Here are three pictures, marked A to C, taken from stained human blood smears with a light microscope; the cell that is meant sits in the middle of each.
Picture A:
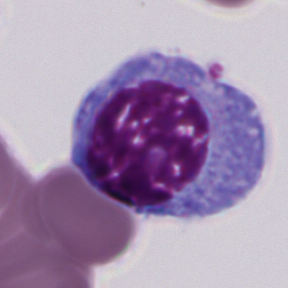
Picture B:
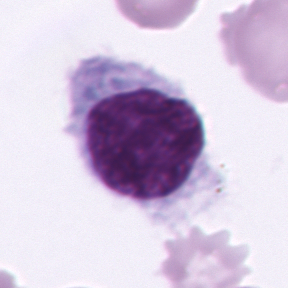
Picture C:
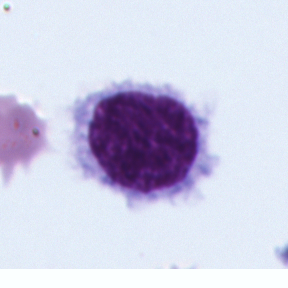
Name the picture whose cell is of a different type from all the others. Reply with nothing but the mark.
A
